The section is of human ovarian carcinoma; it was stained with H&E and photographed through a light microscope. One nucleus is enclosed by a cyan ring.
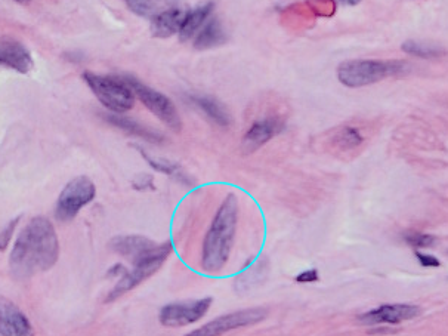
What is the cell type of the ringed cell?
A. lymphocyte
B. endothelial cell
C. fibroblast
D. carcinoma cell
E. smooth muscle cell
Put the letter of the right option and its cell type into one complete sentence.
Identified correctly by option E, the ringed cell is a smooth muscle cell.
